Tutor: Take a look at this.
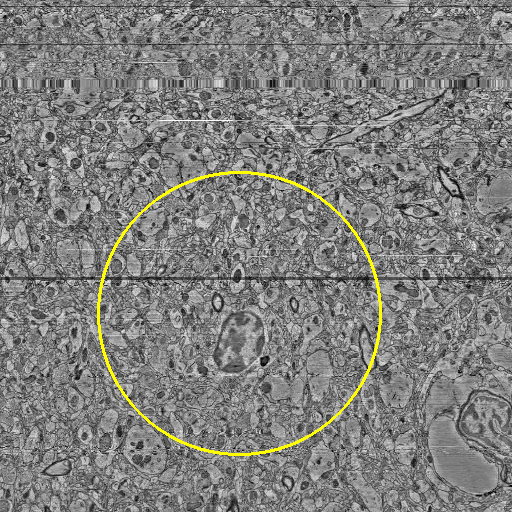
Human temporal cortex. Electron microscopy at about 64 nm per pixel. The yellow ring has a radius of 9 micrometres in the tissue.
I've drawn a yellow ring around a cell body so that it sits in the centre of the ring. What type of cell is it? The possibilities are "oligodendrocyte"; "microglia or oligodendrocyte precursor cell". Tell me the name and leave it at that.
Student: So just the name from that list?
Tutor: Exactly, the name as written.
microglia or oligodendrocyte precursor cell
